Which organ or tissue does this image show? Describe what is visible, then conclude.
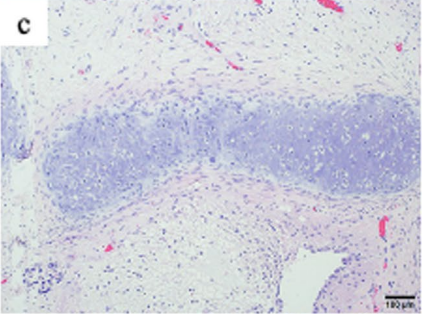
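A band of pale blue-purple glassy matrix crosses the field. Small cells sit in clear spaces within the matrix. Looser fibrous stroma surrounds the band.
Cartilage tissue.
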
